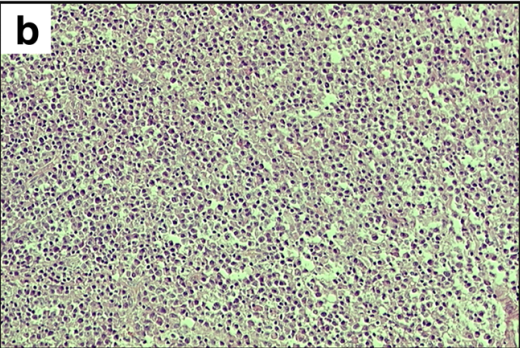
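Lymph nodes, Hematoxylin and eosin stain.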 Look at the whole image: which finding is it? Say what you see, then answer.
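Sheet of densely packed, uniform cells across the whole field. No follicles or other nodal architecture visible. On this evidence: Diffuse proliferation.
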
